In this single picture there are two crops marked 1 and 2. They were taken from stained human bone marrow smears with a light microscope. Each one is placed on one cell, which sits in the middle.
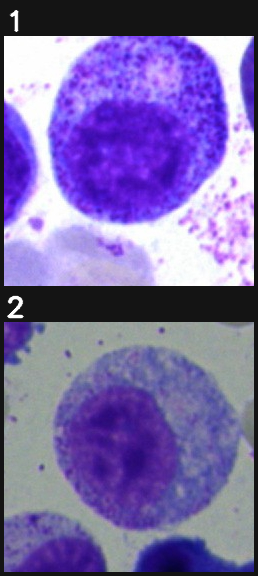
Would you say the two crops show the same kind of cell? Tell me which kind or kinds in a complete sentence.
No, crop 1 contains a promyelocyte, and crop 2 contains a myelocyte.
